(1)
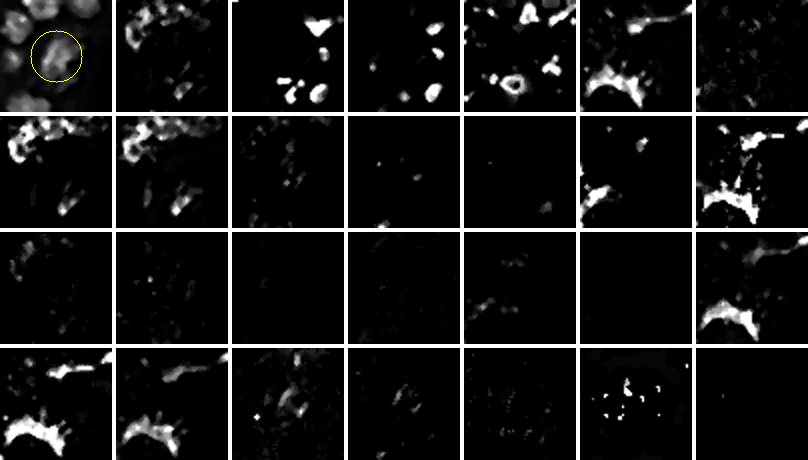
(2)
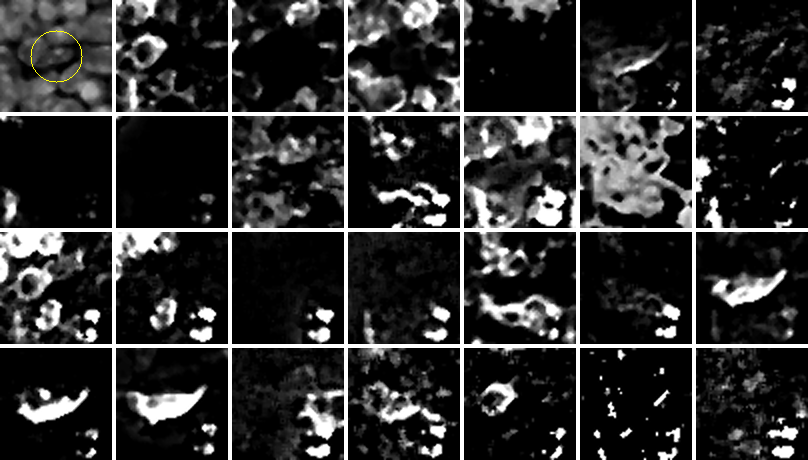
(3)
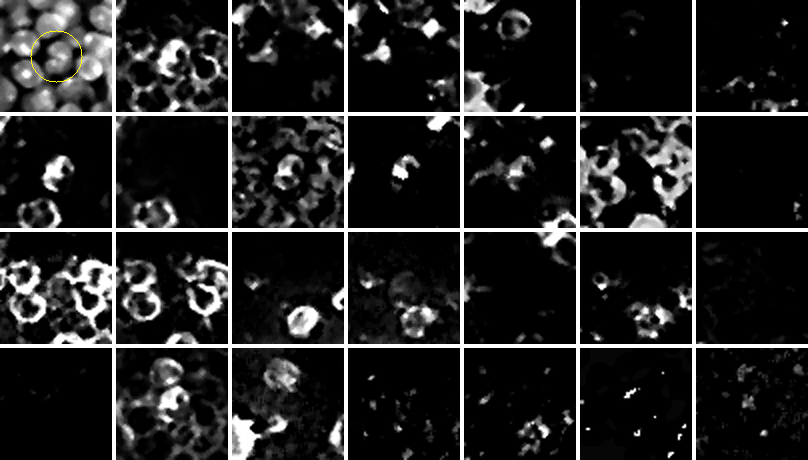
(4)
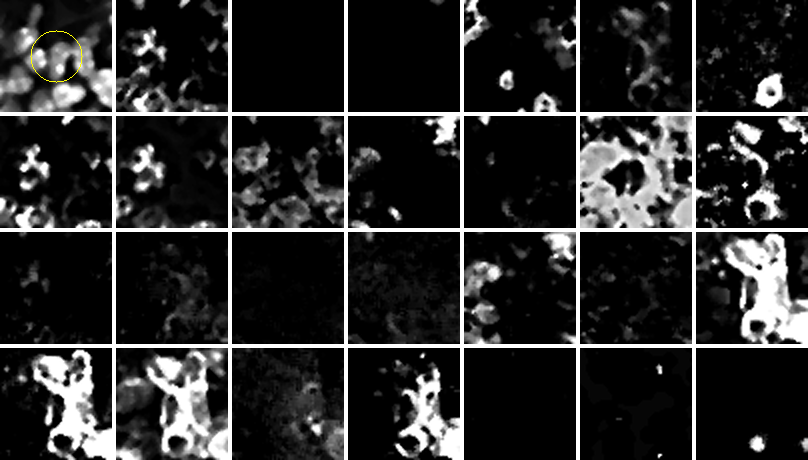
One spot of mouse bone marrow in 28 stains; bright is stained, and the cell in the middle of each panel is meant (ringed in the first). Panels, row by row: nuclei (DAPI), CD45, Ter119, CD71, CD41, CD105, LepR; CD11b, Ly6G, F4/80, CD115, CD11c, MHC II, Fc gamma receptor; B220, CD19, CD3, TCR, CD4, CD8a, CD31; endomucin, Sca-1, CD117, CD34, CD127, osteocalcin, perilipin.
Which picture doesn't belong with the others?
Picture 3.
